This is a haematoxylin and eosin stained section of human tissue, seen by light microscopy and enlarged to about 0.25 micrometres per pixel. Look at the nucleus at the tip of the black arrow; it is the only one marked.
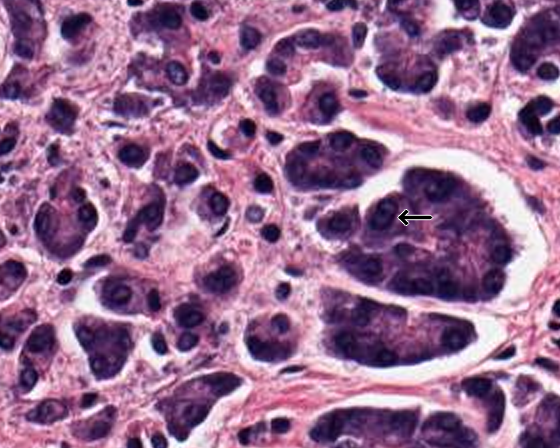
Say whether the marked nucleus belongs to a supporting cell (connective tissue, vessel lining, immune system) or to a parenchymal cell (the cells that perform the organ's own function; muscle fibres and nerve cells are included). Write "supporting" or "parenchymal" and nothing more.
parenchymal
